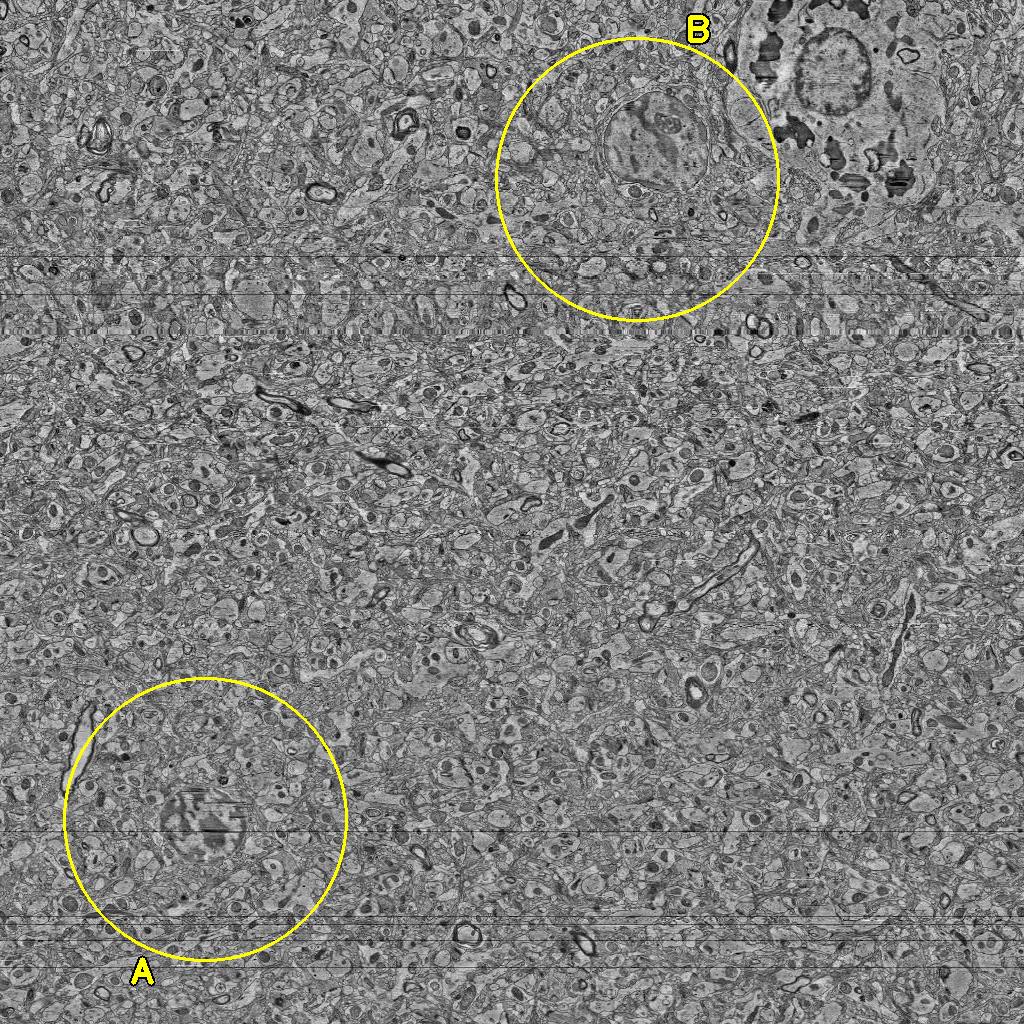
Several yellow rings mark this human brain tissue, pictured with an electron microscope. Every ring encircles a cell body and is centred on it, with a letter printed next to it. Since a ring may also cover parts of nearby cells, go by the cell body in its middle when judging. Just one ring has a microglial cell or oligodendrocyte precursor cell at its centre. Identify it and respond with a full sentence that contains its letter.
The answer is ring B, whose centre rests on the cell asked for.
